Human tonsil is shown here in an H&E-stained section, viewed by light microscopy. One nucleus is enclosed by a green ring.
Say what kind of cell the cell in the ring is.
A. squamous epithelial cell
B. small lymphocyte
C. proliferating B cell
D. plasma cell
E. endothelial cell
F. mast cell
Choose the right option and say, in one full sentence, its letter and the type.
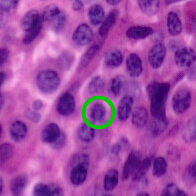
Option D, identifying the cell in the ring as a plasma cell, is correct.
